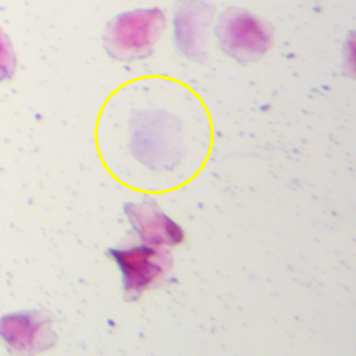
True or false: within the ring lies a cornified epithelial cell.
True: a cornified epithelial cell lies within the ring.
